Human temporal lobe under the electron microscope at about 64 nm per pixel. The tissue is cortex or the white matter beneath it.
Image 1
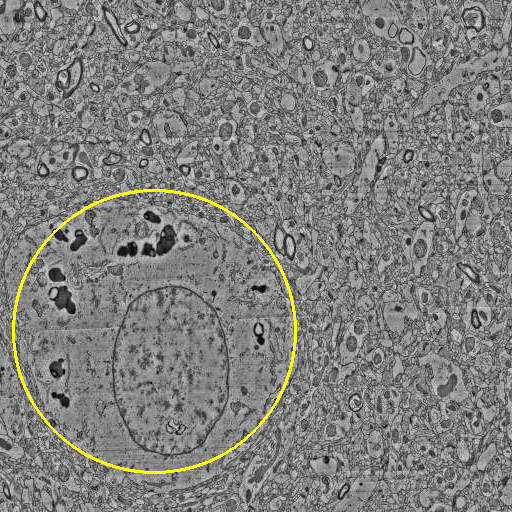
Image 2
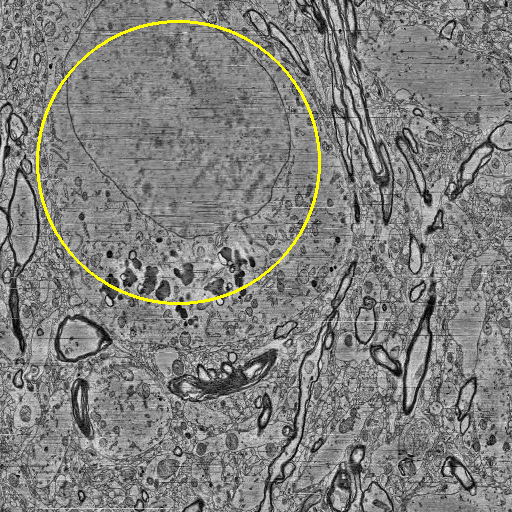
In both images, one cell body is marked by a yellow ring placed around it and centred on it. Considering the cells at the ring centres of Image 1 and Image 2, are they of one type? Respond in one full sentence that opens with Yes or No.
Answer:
Yes, a single type applies to the ring-centred cells of both Image 1 and Image 2.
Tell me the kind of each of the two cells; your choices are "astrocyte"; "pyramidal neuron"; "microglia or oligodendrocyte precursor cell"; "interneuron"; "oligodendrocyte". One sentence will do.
Each of the ringed cells, first and second, is a pyramidal neuron.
